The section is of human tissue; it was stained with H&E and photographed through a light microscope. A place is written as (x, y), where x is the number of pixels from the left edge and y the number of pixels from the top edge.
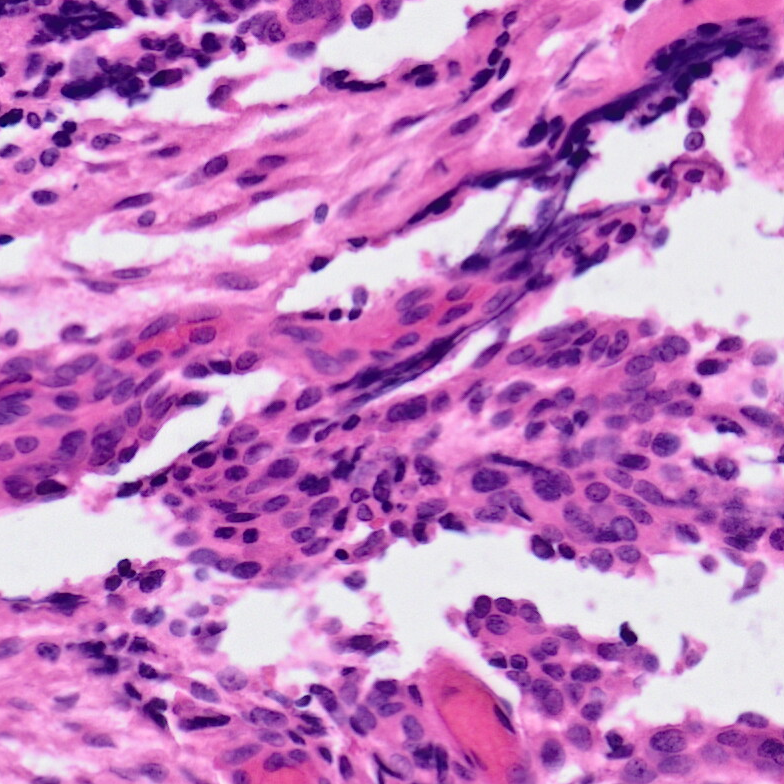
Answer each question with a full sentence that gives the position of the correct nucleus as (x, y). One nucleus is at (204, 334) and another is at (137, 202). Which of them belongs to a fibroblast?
The nucleus at (137, 202) is contained in a fibroblast.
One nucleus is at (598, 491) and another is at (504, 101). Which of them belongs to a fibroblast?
The nucleus at (504, 101) is the one of the two that belongs to a fibroblast.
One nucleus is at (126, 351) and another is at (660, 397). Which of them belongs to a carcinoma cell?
Answering which nucleus it is: the one at (660, 397), belonging to a carcinoma cell.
